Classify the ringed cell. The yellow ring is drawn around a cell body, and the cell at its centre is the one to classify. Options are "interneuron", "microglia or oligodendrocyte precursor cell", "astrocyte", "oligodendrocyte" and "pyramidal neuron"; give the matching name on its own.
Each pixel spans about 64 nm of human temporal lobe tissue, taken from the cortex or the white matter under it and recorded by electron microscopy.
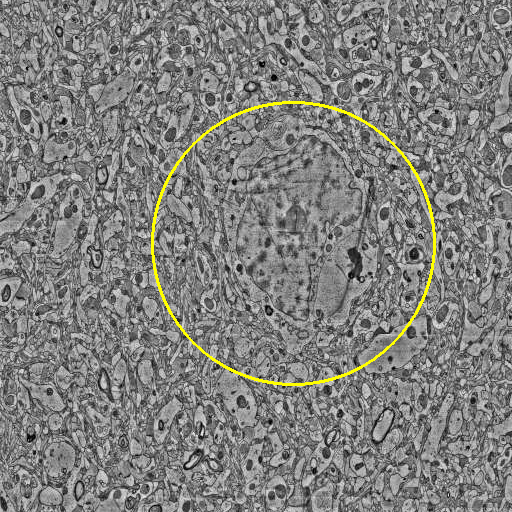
interneuron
